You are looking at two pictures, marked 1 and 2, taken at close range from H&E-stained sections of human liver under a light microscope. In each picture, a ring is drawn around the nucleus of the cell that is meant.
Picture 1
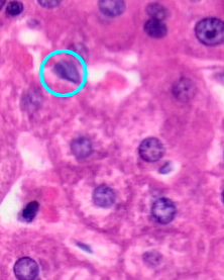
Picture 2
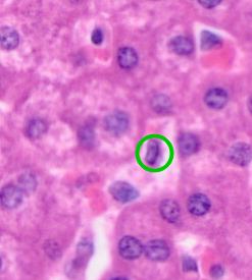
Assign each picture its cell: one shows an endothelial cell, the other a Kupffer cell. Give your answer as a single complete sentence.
Picture 1 is of an endothelial cell, and picture 2 is of a Kupffer cell.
